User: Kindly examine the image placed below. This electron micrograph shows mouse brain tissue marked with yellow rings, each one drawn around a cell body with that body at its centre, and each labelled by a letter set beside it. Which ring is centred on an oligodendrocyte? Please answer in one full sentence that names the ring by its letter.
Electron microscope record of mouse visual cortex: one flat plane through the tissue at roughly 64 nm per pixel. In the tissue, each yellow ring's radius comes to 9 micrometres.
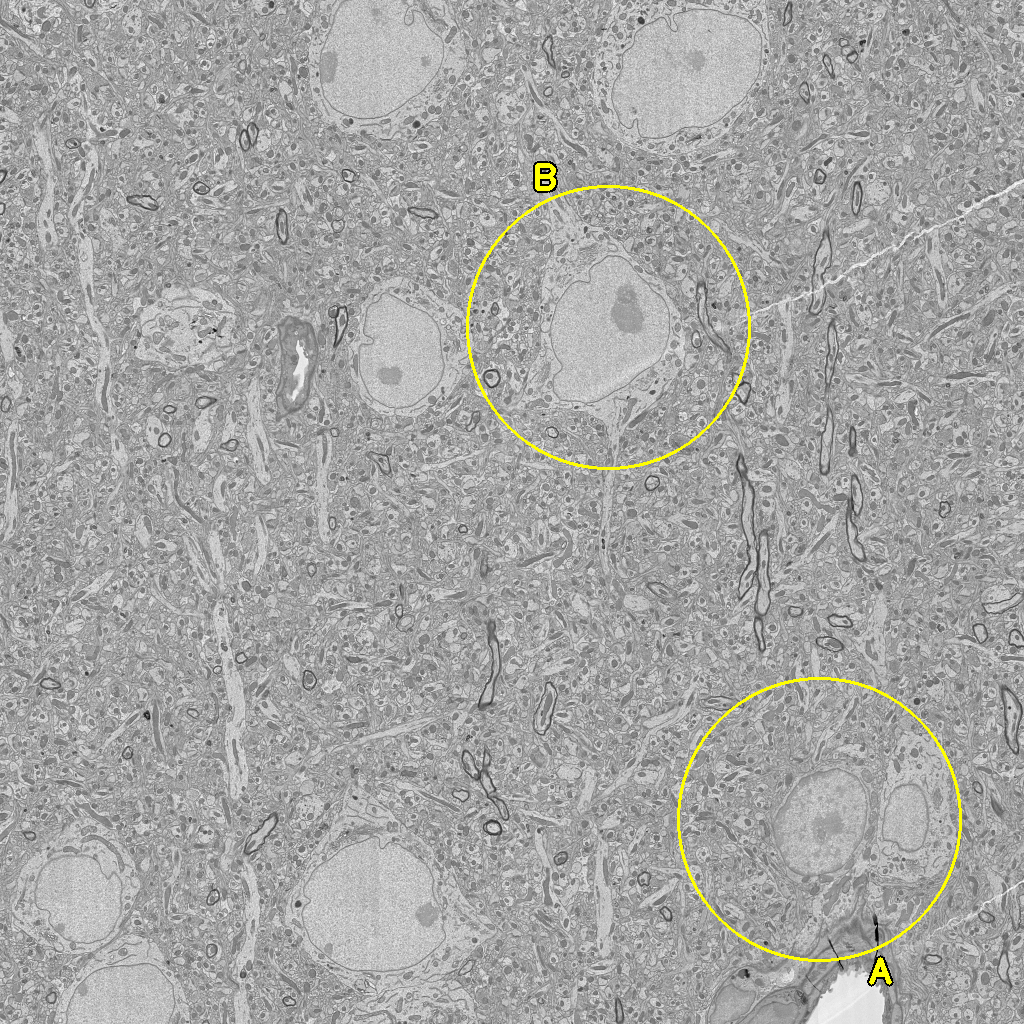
Ring A is the one drawn around the cell asked for.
